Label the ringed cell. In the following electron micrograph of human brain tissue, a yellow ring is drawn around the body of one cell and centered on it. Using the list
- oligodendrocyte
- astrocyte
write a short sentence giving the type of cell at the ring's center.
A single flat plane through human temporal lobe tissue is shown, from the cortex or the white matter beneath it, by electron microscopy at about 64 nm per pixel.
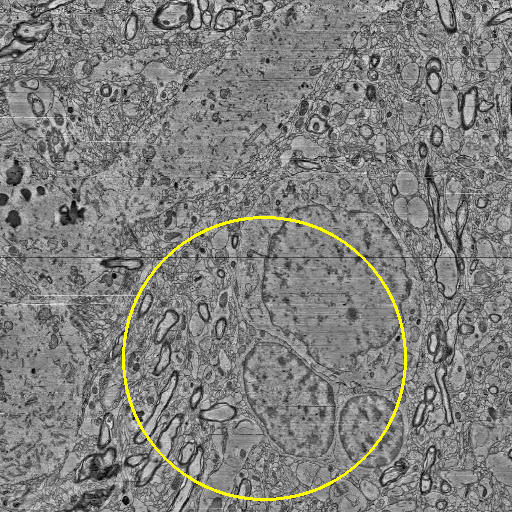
The cell body at the ring's center is that of an oligodendrocyte.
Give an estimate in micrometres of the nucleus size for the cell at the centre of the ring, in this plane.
Roughly 8 micrometres by 5 micrometres, in this plane.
